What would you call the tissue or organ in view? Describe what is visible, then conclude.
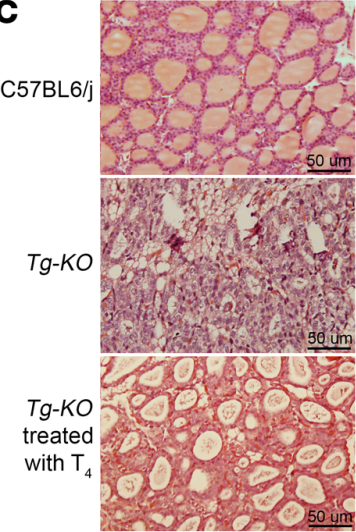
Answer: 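The top image is filled with round, closely packed follicles containing homogeneous pink material. The follicles are lined by a single layer of epithelial cells. That points to this answer: Thyroid gland.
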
